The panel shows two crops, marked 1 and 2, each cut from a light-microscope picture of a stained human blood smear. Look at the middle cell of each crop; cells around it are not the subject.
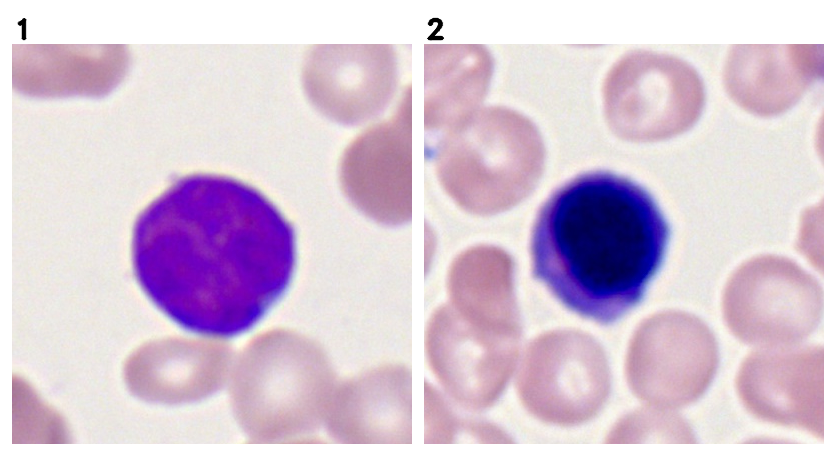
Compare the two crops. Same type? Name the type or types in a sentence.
No, the labels go like this: crop 1 is a blast and crop 2 is a lymphocyte.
